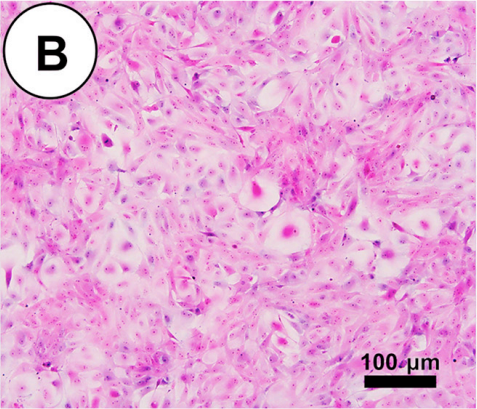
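The cytoplasm is pale pink, ranging from clear to finely granular. Nuclei are round to oval and vary markedly in size, and a few enlarged cells with large nuclei stand out among smaller ones.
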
